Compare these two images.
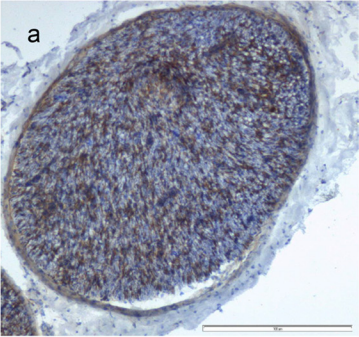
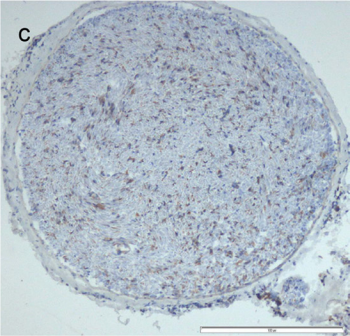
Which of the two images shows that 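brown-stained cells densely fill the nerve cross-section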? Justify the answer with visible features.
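The first image. Second image: the cross-section is mostly pale blue with scattered small brown spots. First image: brown staining is dense across most of the cross-section.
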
